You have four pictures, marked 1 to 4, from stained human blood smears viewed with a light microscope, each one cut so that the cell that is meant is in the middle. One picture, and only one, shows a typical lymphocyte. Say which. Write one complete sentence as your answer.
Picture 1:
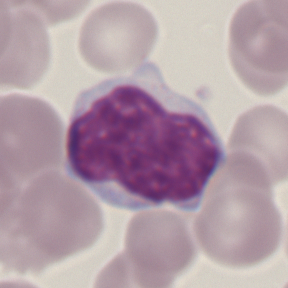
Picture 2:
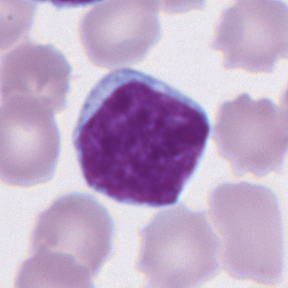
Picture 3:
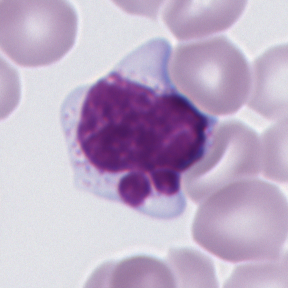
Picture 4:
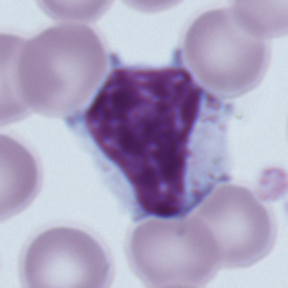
It is picture 2 that shows the typical lymphocyte.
